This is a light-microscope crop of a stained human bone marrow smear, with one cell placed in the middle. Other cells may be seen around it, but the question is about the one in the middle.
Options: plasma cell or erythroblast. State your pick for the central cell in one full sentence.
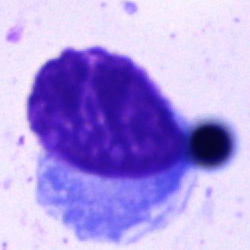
The middle position in this crop is taken by a plasma cell.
